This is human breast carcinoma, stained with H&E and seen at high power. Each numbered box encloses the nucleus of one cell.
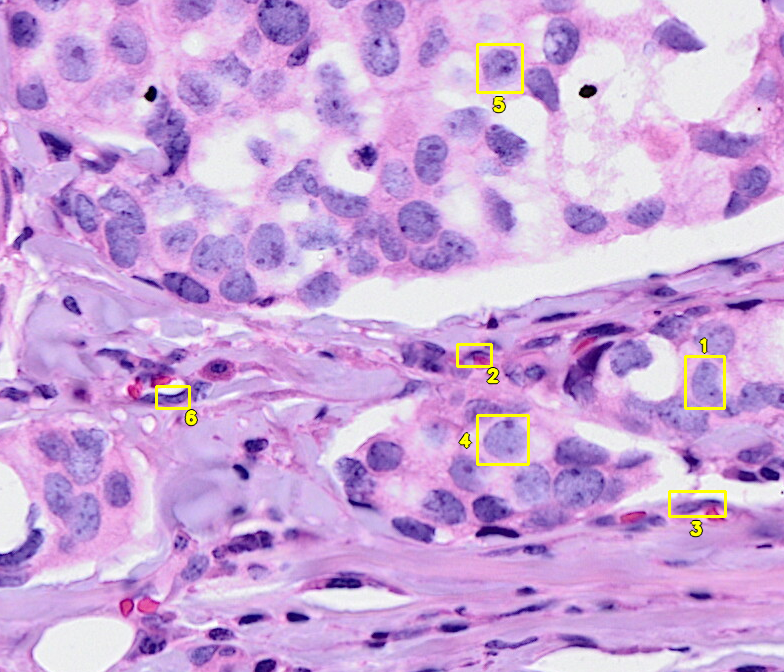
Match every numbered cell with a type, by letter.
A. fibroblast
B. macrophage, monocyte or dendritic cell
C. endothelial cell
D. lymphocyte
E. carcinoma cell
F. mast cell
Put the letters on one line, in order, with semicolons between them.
E; C; C; E; E; C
